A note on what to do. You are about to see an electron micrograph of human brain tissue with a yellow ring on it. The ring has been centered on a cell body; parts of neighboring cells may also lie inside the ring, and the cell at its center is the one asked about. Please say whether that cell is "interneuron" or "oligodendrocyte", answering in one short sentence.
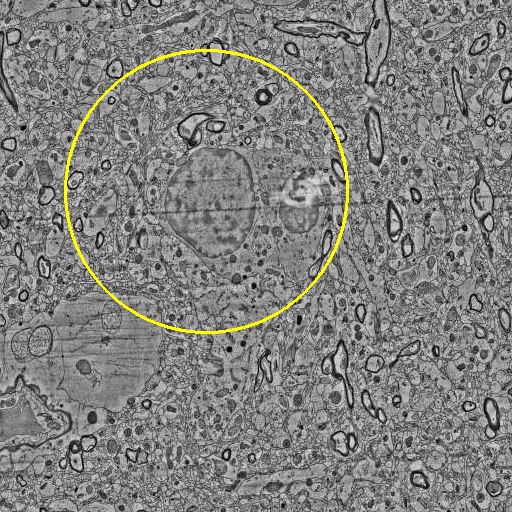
The yellow ring sits on an oligodendrocyte.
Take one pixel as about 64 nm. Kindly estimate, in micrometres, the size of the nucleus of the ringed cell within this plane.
In this plane, roughly 7 micrometres across.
